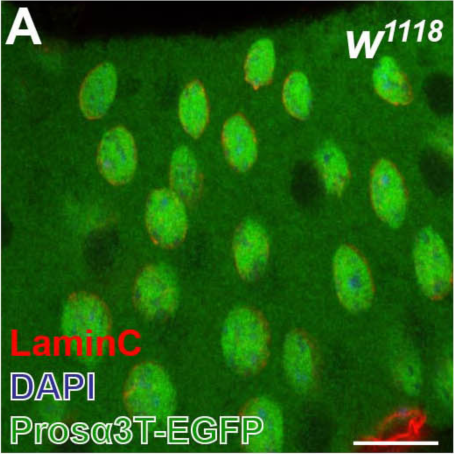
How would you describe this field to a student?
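A field of young round spermatids seen from above, their nuclei scattered evenly across a shared green cytoplasm. The nuclei are round to oval and all of about the same size; they glow more brightly green than the cytoplasm around them. Dark round gaps between some nuclei lack green. Near the lower right edge a bright, crumpled red sheet of envelope lies apart from the regular nuclei.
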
